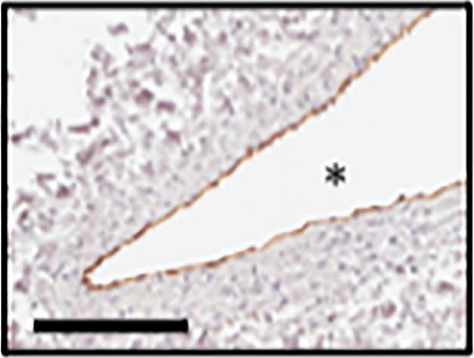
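The edge of the lumen is traced by a thin, even brown-stained line on both sides. The tissue on either side is pale pink to purple with a loose, fibrous texture and scattered small nuclei. The tissue at the left appears looser and more fragmented than that on the right.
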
